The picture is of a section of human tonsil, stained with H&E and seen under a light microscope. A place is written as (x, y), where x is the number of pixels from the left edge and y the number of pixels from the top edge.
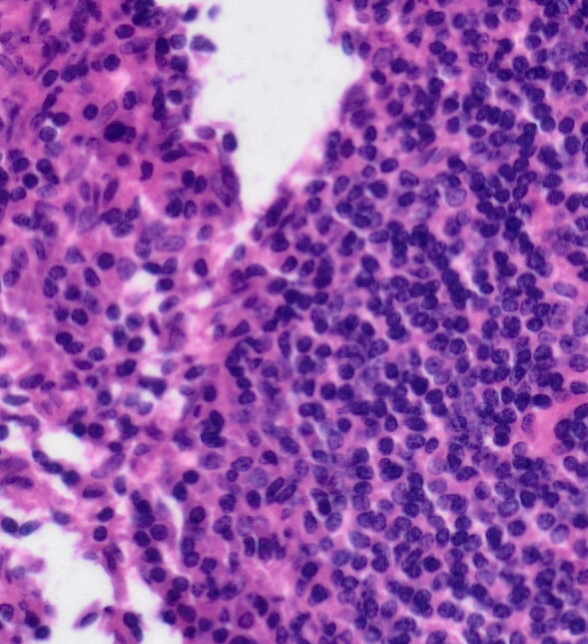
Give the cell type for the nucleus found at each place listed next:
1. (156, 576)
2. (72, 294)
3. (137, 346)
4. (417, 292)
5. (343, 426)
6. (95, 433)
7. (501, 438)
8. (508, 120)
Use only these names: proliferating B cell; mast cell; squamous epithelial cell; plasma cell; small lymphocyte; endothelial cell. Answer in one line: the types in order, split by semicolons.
plasma cell; plasma cell; plasma cell; small lymphocyte; small lymphocyte; plasma cell; small lymphocyte; small lymphocyte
